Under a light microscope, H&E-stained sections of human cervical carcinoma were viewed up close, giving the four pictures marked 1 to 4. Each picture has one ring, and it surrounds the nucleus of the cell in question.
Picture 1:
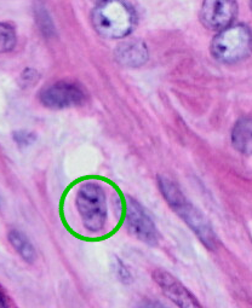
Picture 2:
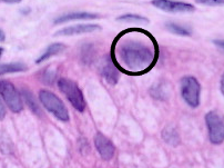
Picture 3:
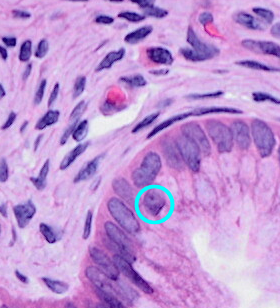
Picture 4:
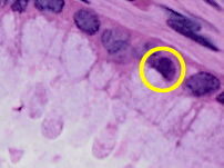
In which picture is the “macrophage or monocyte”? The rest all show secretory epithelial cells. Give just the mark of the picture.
1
